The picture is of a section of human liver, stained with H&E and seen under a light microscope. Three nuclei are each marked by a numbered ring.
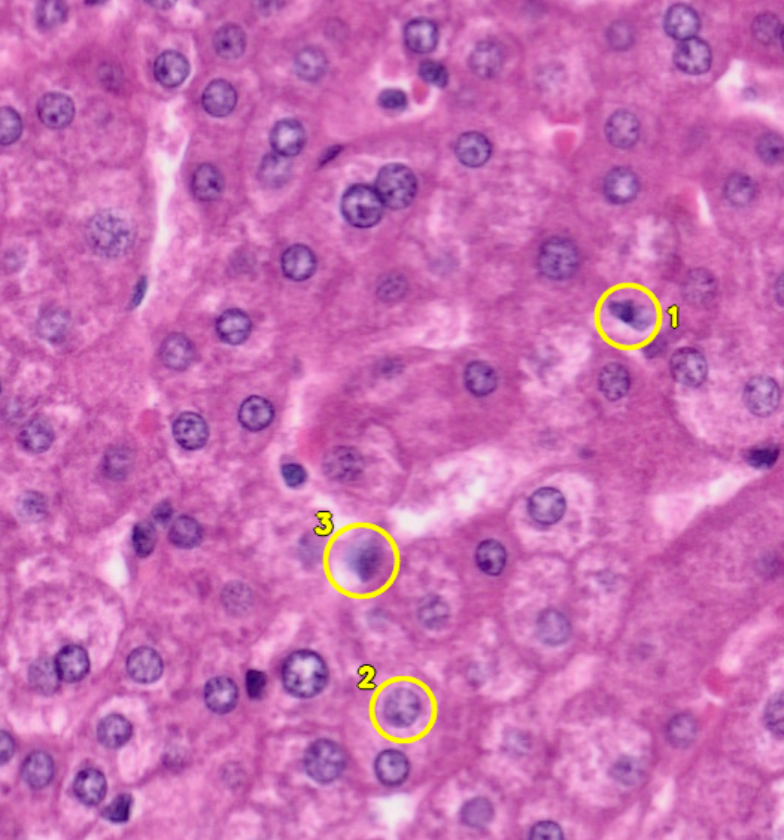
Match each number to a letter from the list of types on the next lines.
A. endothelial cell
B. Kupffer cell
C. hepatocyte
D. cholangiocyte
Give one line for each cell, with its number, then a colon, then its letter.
1: A
2: C
3: A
